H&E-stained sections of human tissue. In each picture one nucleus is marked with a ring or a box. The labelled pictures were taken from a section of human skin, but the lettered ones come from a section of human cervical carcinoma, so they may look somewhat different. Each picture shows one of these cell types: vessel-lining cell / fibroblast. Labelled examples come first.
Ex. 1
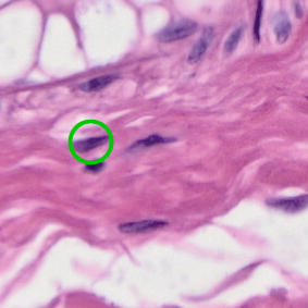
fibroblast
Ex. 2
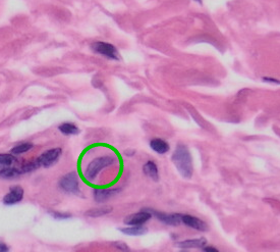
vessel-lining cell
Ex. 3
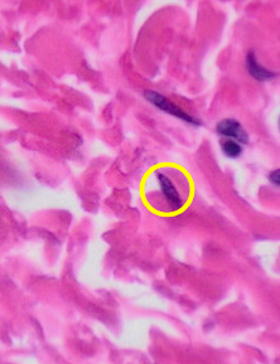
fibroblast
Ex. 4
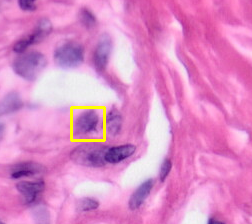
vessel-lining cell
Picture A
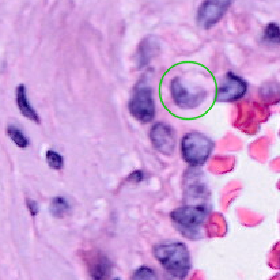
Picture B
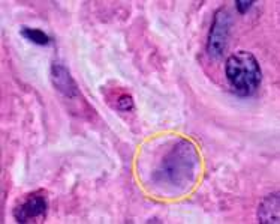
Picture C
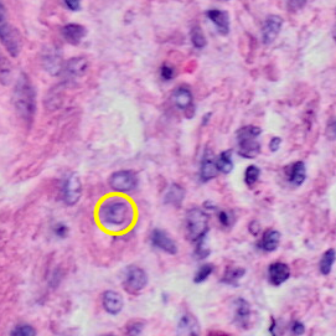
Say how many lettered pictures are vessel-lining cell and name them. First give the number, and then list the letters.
2, namely A, C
